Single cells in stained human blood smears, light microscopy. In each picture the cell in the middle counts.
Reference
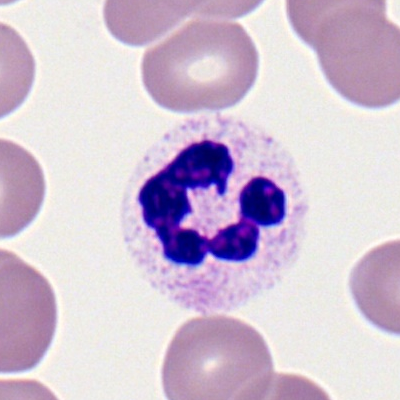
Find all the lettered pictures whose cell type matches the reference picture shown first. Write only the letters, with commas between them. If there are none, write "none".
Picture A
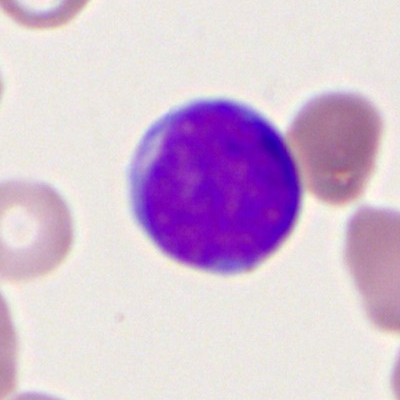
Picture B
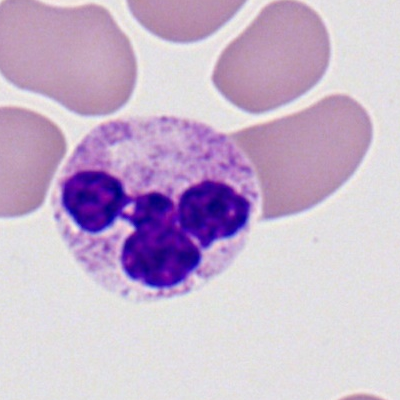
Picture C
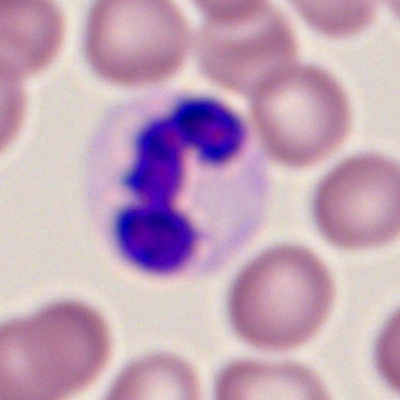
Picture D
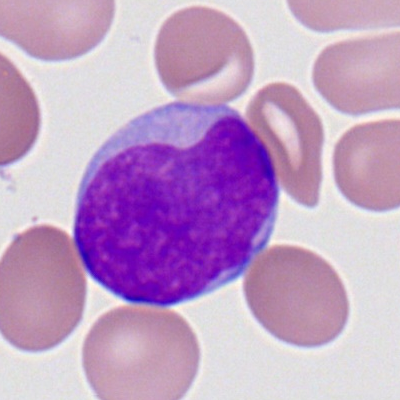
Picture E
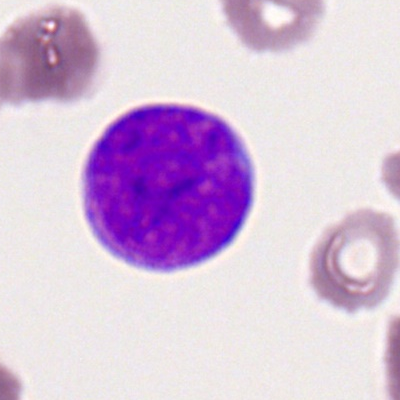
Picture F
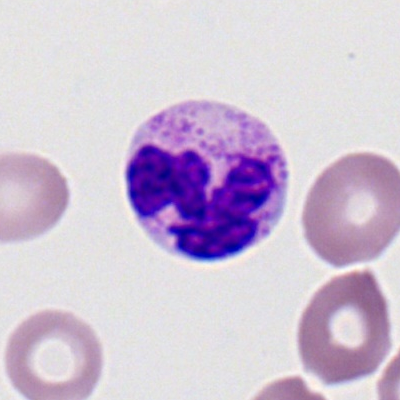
B, C, F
